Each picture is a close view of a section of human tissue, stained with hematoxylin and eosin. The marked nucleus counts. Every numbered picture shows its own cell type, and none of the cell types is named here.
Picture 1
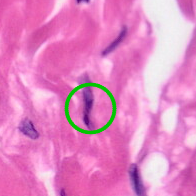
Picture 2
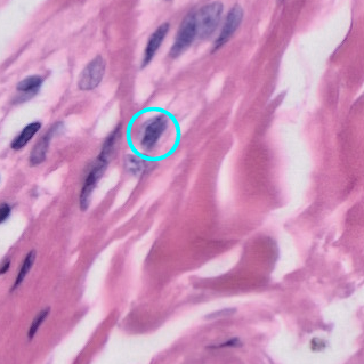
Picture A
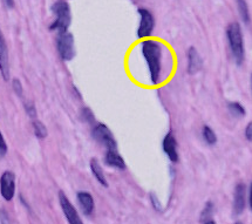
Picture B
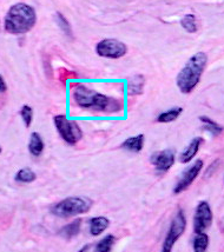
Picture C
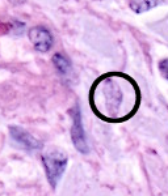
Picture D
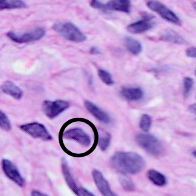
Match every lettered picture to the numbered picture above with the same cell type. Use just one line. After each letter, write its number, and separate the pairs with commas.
A 2, B 2, C 1, D 1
